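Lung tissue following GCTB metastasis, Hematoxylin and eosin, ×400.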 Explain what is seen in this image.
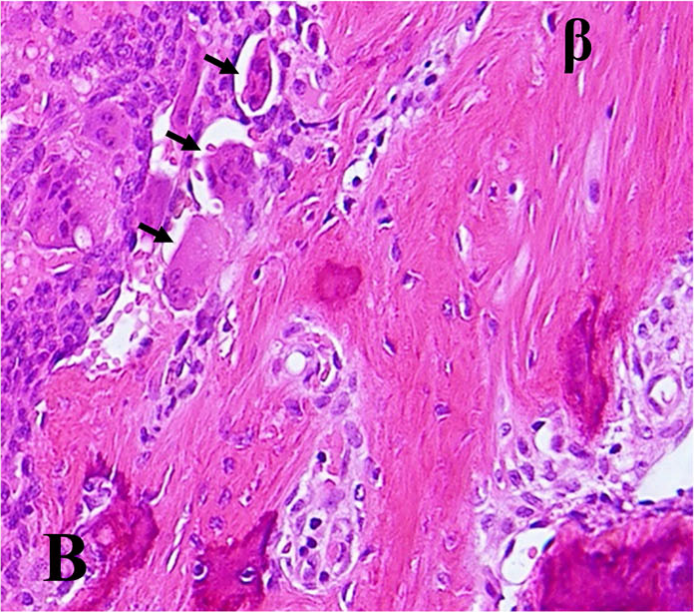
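This is a fibroblastic, osteoid-forming area. Bands of pink fibrous matrix hold scattered spindle-shaped cells with elongated dark nuclei, and deeper magenta patches of matrix are seen at the bottom and on the right. At the upper left is a crowd of smaller cells with dark purple nuclei, among which lie large cells with abundant pink cytoplasm and several nuclei in clear spaces.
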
